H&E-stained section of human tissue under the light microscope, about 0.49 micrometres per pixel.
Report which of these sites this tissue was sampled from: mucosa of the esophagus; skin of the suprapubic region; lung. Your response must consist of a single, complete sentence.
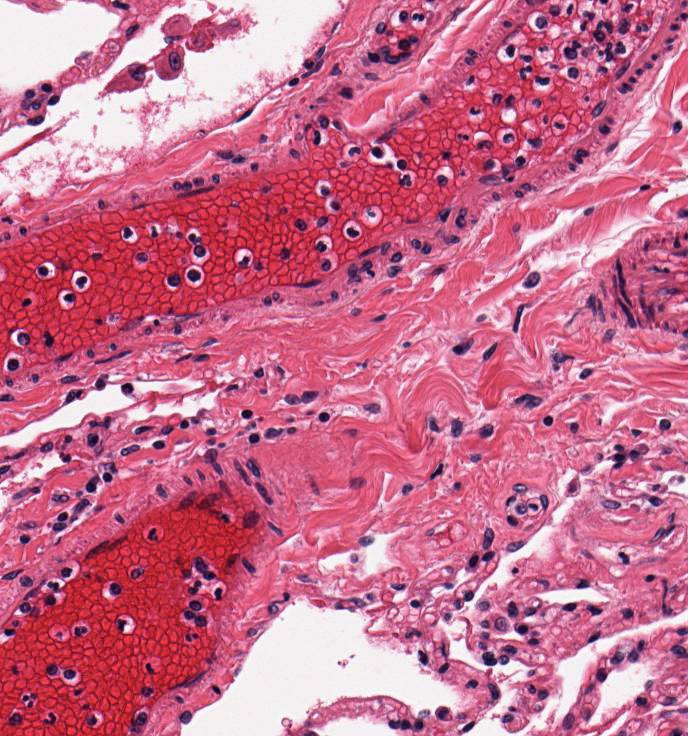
The tissue fragment was taken from the lung.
